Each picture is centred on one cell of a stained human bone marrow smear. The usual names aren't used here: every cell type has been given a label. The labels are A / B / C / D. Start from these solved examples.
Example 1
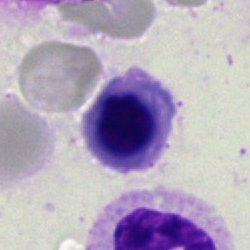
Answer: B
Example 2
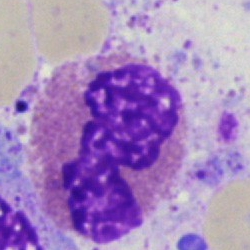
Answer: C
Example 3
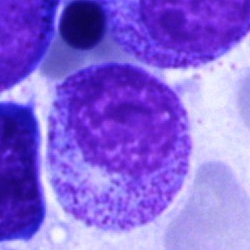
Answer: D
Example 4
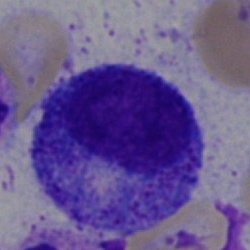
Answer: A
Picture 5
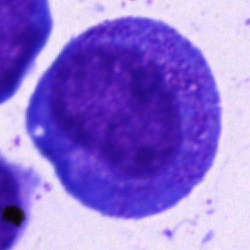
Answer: A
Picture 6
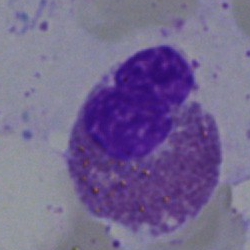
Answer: C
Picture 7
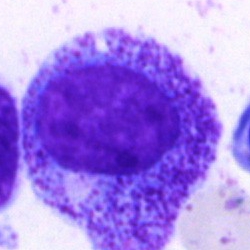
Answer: A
